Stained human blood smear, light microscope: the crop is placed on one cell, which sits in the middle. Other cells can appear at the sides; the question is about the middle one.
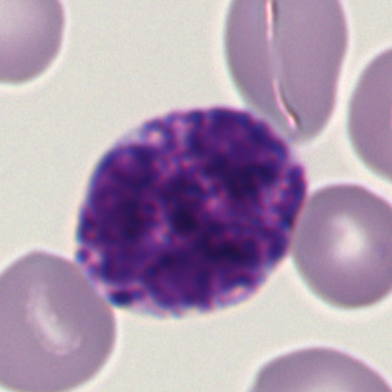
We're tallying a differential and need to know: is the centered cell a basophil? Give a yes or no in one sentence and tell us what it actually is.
Yes, the cell in the centre is a basophil.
